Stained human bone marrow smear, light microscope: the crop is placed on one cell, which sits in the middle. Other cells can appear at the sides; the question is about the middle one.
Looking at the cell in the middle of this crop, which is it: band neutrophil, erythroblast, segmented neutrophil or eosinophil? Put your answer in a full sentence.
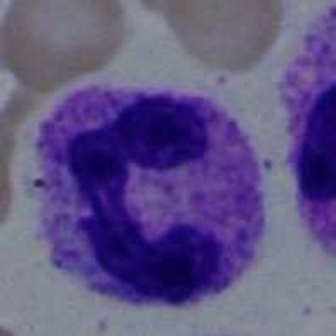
In short, the cell at the center is a band neutrophil.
